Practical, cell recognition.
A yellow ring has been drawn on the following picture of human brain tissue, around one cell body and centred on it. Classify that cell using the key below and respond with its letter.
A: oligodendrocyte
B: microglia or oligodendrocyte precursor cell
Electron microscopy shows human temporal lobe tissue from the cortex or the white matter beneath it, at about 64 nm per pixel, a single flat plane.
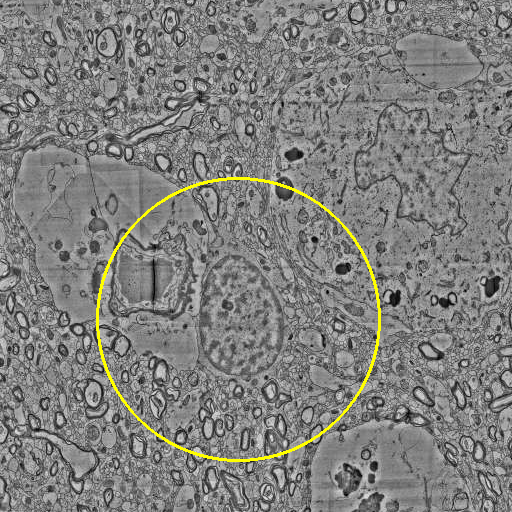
A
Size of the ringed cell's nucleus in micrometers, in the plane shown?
Approximately 7 x 6 micrometres in this plane.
